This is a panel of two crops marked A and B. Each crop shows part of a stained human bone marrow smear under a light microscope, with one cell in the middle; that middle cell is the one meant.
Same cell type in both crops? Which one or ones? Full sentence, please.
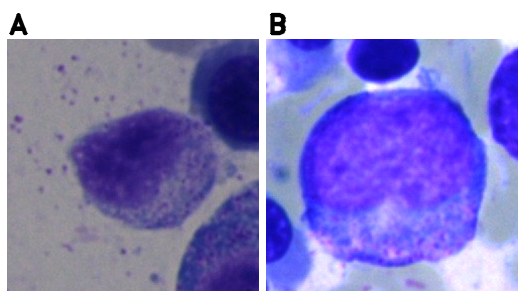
No, crop A shows a myelocyte and crop B a promyelocyte.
